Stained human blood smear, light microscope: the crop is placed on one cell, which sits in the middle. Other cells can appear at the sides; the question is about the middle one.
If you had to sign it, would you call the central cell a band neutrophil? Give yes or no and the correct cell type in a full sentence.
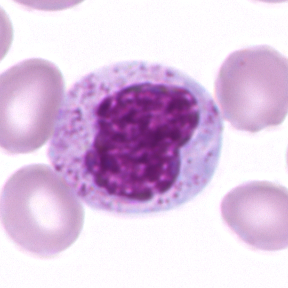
No, at the middle of the crop is a metamyelocyte, not a band neutrophil.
